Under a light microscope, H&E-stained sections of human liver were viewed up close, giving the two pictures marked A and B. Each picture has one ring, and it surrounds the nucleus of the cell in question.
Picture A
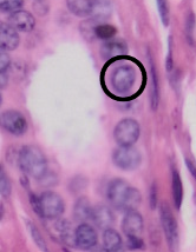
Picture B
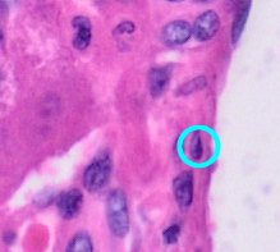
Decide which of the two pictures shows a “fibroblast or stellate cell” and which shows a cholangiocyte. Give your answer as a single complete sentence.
Picture B shows a “fibroblast or stellate cell”, while picture A shows a cholangiocyte.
